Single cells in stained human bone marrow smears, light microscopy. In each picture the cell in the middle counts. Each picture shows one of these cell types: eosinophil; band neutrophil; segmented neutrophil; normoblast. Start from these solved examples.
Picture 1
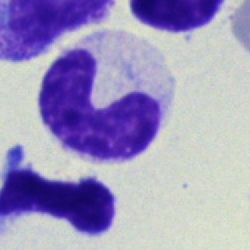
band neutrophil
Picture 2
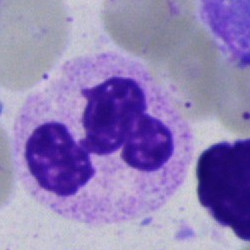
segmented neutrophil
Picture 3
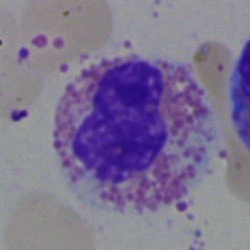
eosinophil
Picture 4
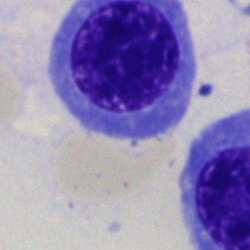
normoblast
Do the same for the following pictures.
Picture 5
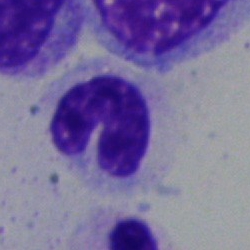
band neutrophil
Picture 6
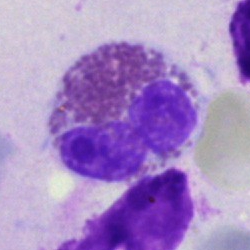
eosinophil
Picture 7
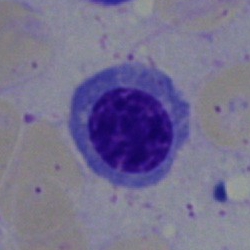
normoblast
